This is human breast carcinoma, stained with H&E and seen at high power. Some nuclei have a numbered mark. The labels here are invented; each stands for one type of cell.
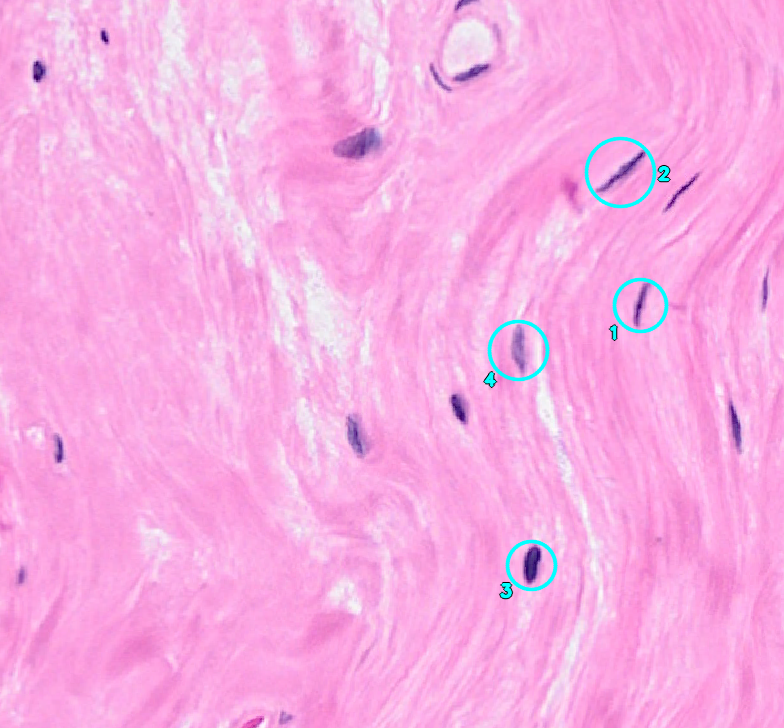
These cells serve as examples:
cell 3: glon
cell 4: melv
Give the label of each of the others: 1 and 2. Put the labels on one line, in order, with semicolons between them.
melv; melv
